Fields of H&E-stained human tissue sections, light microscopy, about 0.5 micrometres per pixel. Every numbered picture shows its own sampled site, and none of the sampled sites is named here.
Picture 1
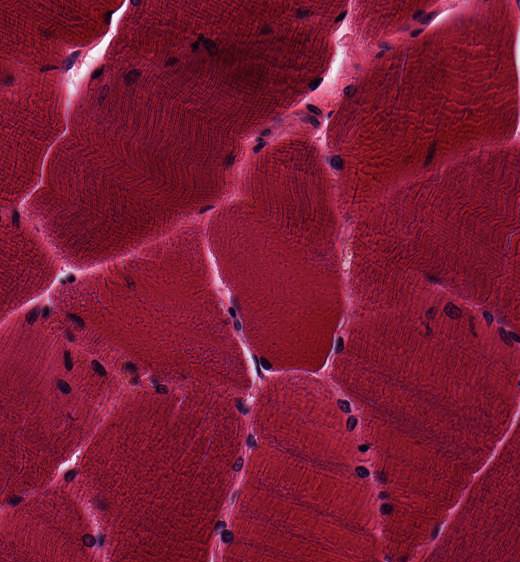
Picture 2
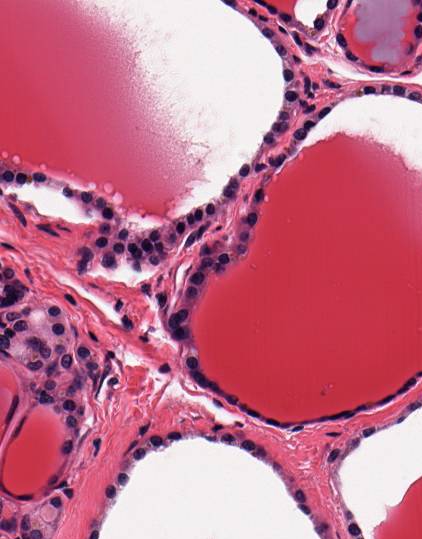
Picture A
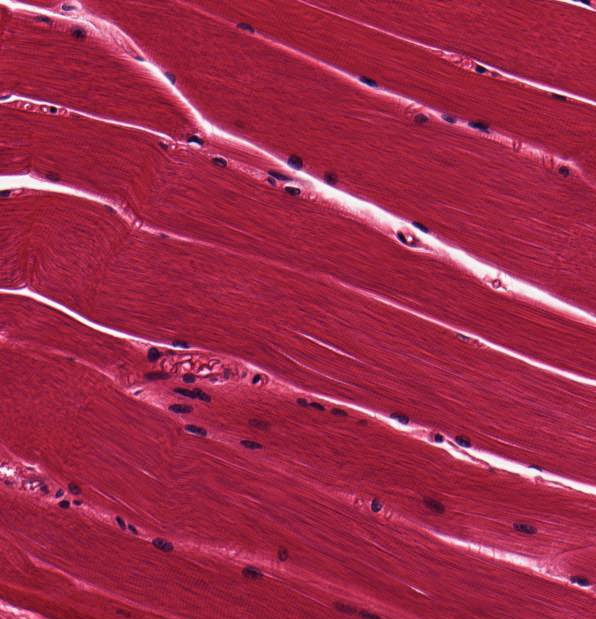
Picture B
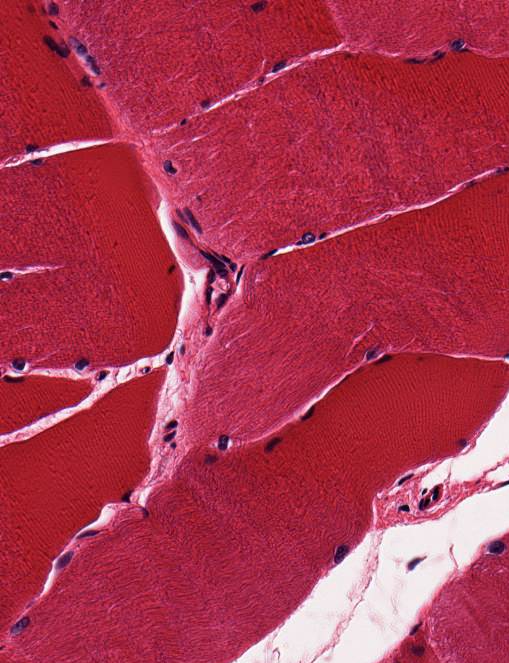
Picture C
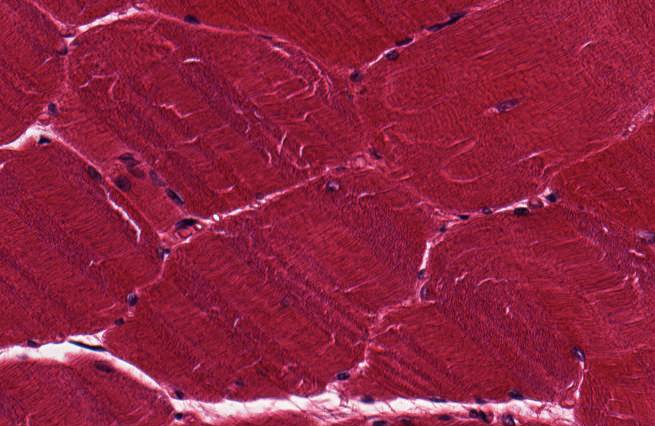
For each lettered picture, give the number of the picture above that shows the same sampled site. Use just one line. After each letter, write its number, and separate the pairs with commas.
A 1, B 1, C 1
